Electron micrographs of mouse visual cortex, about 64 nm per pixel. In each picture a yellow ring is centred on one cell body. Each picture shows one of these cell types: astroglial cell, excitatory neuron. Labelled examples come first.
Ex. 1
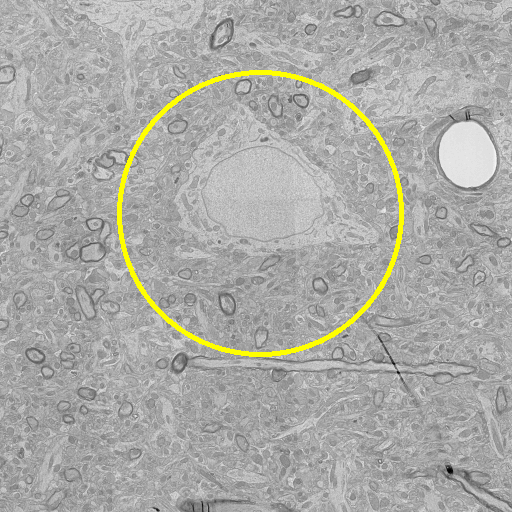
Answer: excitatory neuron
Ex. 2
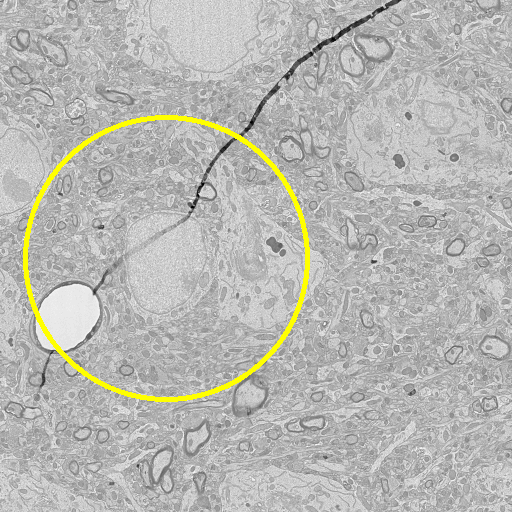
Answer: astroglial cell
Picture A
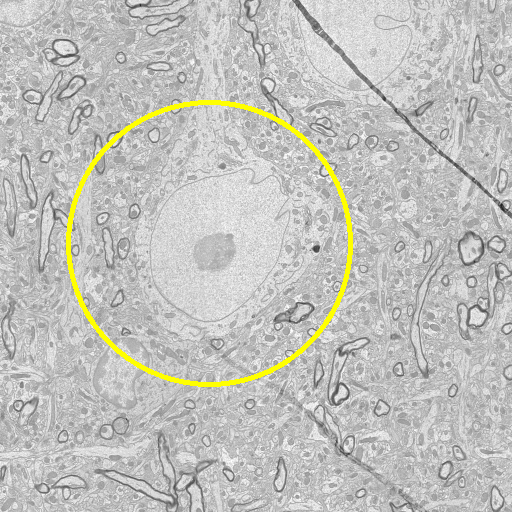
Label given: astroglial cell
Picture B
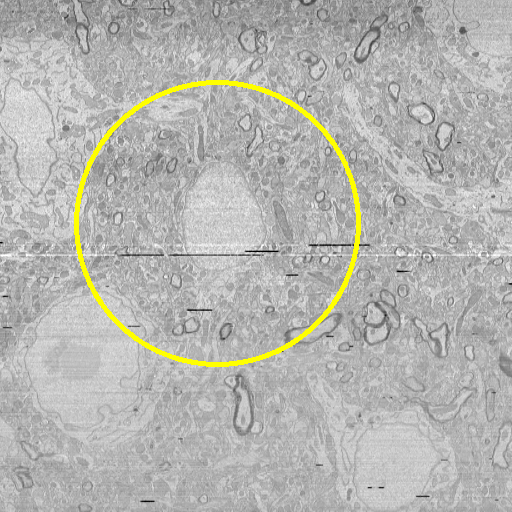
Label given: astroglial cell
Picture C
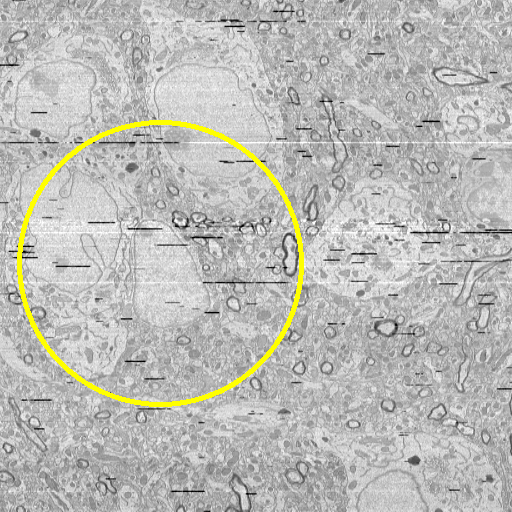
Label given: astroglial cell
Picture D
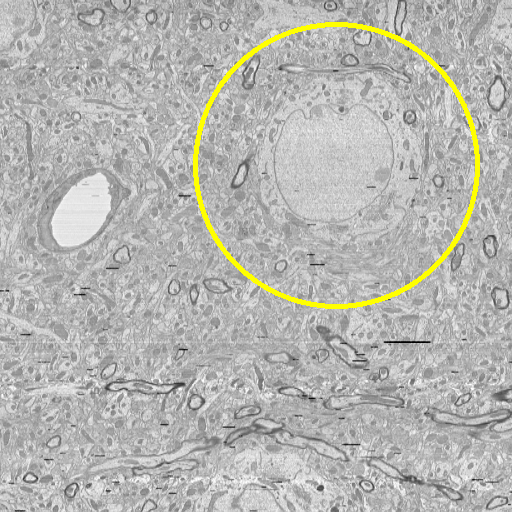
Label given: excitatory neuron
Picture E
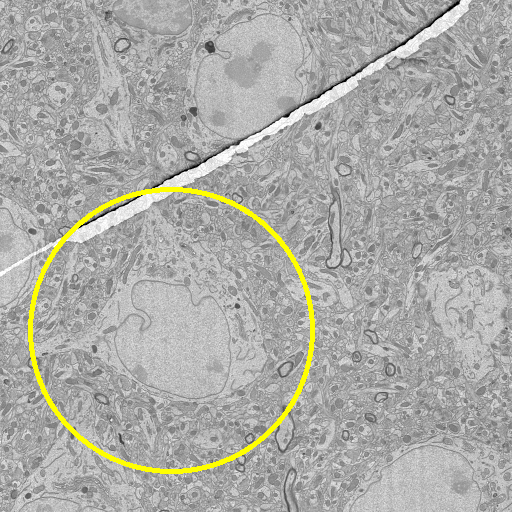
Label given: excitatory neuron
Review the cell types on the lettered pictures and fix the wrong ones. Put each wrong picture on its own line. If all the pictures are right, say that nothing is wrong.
A: excitatory neuron, not astroglial cell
